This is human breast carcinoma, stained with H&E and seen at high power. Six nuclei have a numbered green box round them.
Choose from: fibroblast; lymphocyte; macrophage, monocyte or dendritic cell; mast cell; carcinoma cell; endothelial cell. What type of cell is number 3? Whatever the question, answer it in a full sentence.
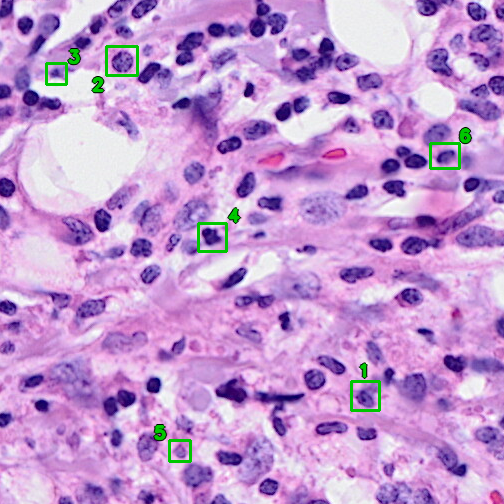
The cell pointed out by number 3 is a lymphocyte.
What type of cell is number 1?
The label 1 in this section denotes a lymphocyte.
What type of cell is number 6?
The cell carrying label 6 is identified as a lymphocyte.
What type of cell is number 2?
The nucleus marked 2 is the nucleus of a mast cell.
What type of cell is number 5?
Of the numbered cells, the one labelled 5 is a macrophage, monocyte or dendritic cell.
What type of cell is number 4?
Number 4 among the marked cells is a lymphocyte.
